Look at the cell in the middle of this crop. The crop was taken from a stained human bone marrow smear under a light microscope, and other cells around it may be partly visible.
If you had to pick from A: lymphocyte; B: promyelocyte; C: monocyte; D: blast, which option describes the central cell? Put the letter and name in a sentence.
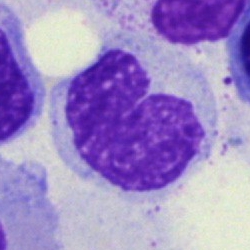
Option C is the keyed answer: the cell in the middle is a monocyte.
